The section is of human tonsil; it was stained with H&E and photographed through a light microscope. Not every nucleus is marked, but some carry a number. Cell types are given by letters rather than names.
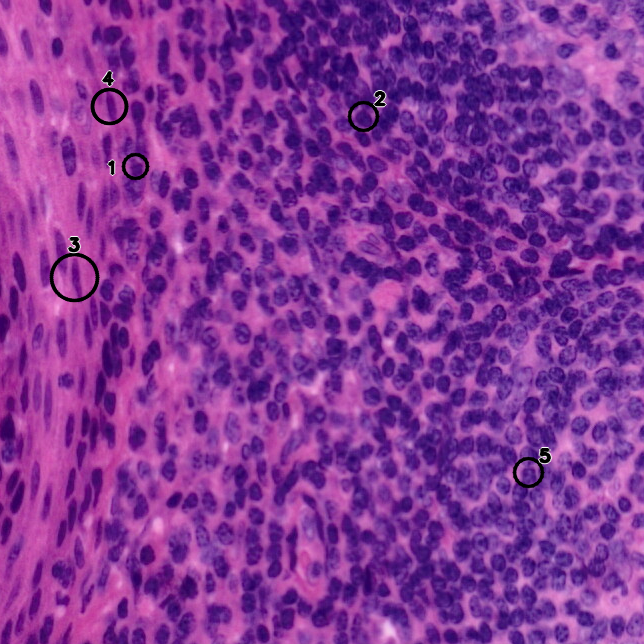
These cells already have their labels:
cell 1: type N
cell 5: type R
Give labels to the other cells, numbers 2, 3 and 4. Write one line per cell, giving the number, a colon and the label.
2: type R
3: type N
4: type N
